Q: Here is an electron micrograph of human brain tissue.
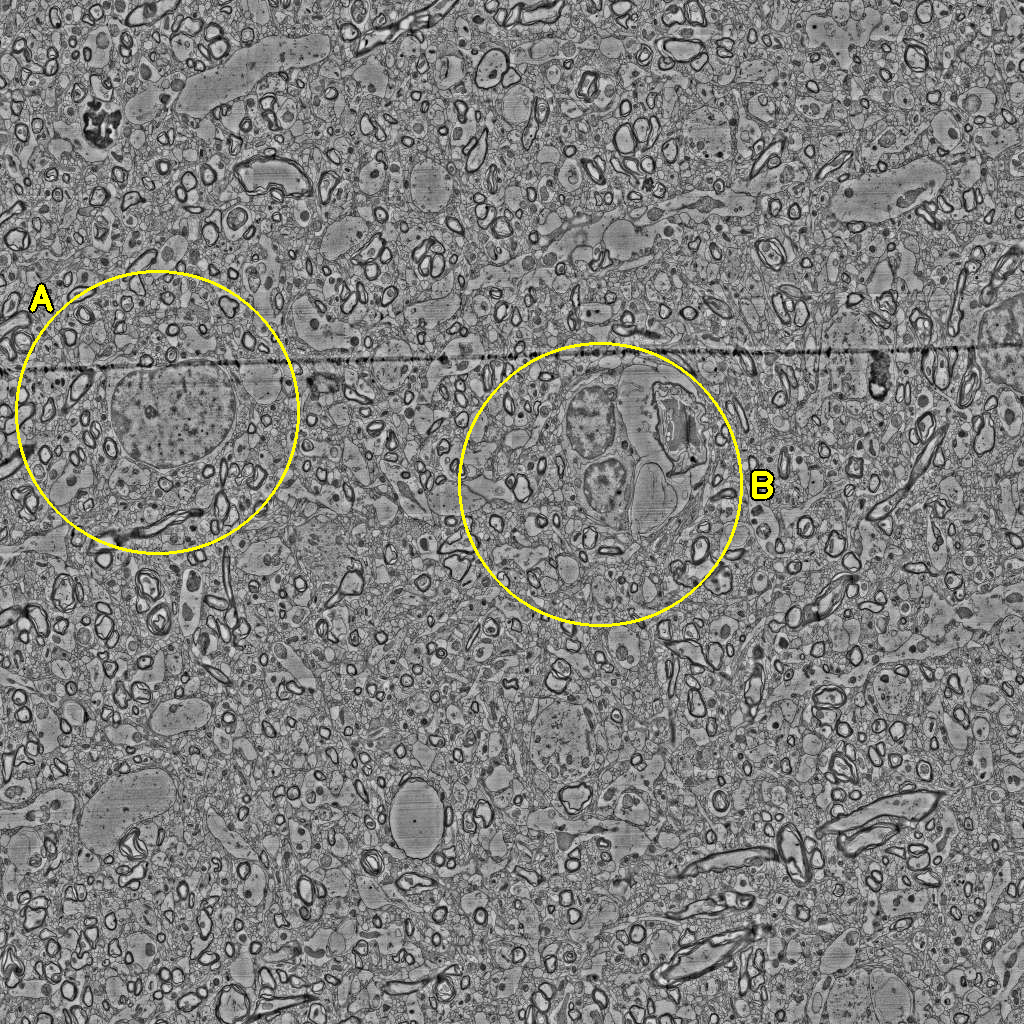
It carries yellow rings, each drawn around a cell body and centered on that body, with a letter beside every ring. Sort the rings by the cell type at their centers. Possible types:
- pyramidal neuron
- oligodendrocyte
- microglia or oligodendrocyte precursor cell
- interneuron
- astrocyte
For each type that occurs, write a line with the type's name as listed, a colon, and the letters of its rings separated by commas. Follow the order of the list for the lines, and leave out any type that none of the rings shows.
oligodendrocyte: B
microglia or oligodendrocyte precursor cell: A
